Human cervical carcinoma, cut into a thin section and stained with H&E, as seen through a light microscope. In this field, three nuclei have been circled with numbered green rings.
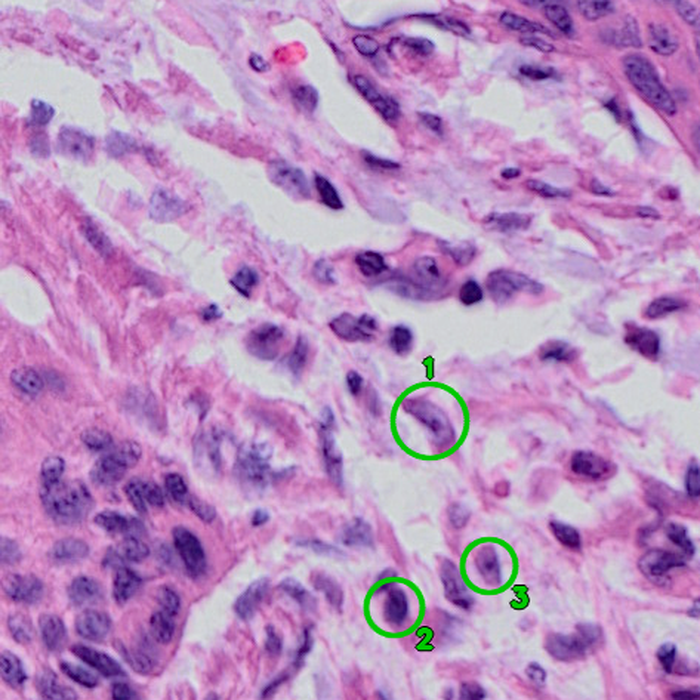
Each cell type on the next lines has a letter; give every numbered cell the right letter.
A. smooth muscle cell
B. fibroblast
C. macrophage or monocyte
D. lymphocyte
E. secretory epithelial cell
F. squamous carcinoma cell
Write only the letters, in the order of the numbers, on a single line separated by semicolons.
B; D; B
